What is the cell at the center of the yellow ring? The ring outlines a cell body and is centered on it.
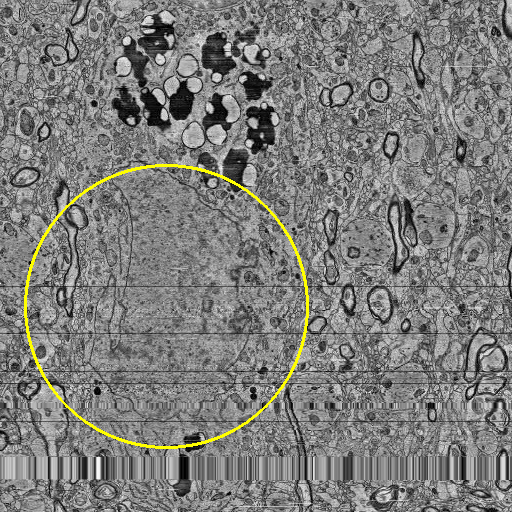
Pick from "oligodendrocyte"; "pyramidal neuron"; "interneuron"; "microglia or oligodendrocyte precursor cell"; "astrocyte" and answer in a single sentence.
The yellow ring is centered on a pyramidal neuron.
